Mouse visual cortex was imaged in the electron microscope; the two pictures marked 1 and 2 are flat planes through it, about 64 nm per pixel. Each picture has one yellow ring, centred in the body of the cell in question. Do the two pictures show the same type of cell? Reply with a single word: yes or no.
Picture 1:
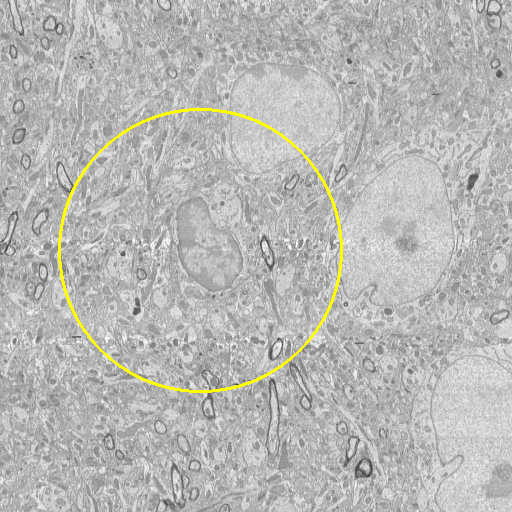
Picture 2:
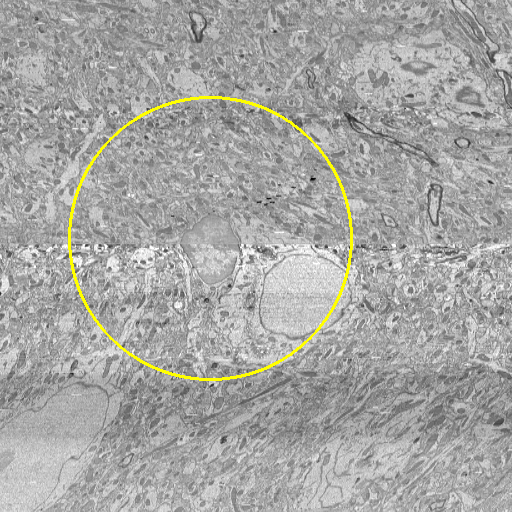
yes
